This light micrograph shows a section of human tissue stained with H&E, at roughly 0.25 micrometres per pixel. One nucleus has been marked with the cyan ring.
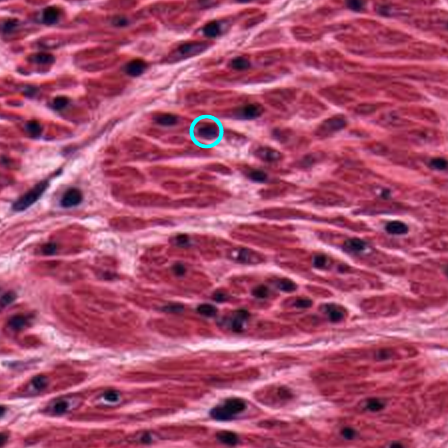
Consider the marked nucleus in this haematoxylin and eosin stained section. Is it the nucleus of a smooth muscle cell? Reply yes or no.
yes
